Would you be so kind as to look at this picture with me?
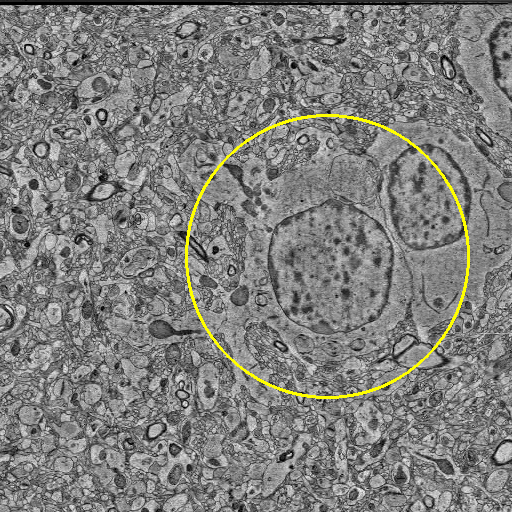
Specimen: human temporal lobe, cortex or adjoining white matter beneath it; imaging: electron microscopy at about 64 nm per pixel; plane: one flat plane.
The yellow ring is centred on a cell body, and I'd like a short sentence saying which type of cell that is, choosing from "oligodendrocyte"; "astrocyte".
The cell body in the ring belongs to an astrocyte.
